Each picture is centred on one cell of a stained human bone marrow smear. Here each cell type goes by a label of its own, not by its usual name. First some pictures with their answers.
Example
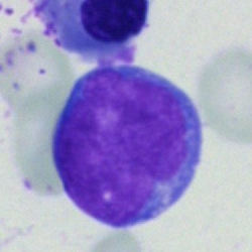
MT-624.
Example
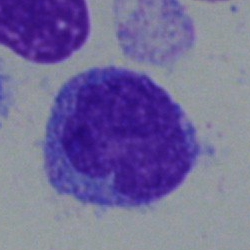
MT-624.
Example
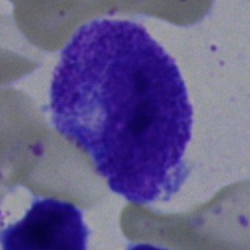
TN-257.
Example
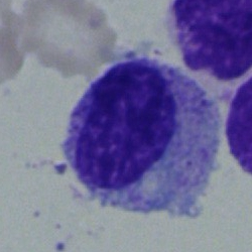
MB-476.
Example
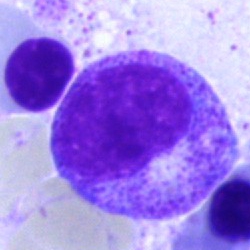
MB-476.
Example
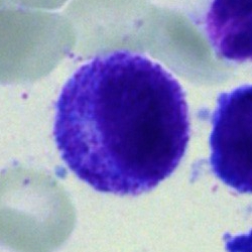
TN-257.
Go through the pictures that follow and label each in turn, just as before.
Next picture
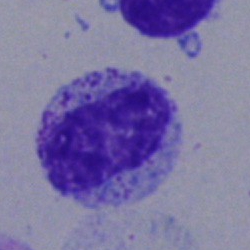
MB-476.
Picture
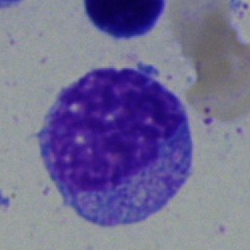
MB-476.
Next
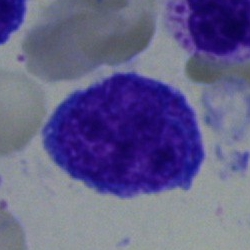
MT-624.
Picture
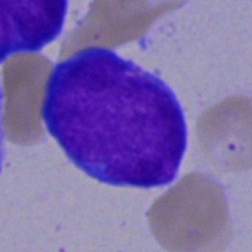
MT-624.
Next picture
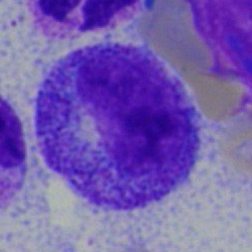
TN-257.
